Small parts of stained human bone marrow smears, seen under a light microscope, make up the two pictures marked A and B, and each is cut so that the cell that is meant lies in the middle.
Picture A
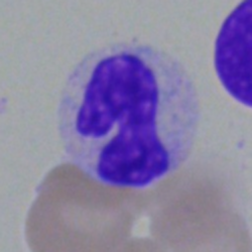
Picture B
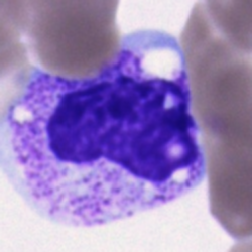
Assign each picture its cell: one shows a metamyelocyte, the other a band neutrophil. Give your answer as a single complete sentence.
Picture A is of a band neutrophil, and picture B is of a metamyelocyte.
